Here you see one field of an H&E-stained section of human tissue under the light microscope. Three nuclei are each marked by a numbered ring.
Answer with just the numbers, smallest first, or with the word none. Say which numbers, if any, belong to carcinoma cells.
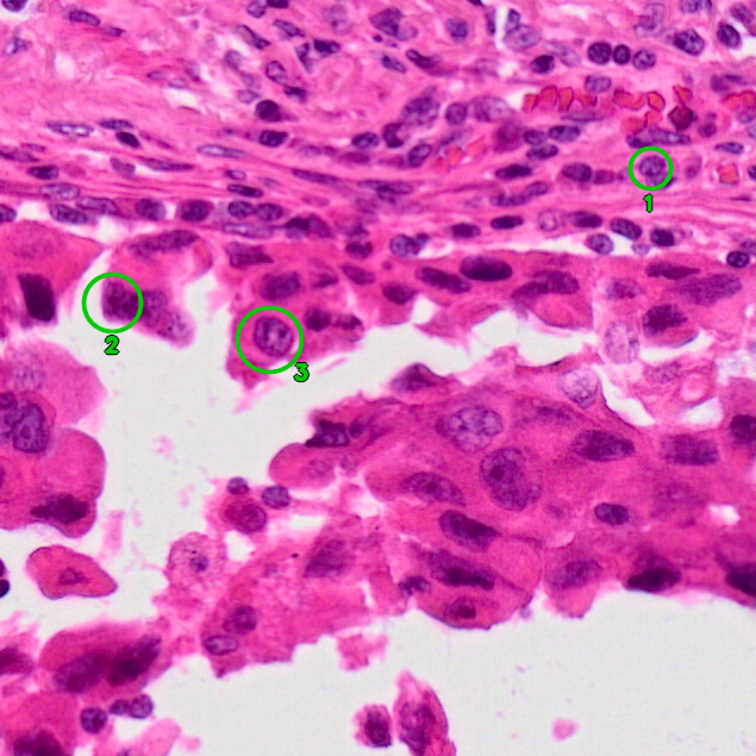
2, 3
